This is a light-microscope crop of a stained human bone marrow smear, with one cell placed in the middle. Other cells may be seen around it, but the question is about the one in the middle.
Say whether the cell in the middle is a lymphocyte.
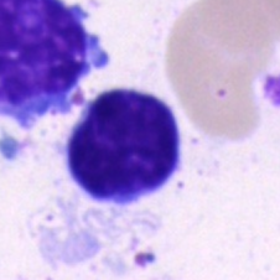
yes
